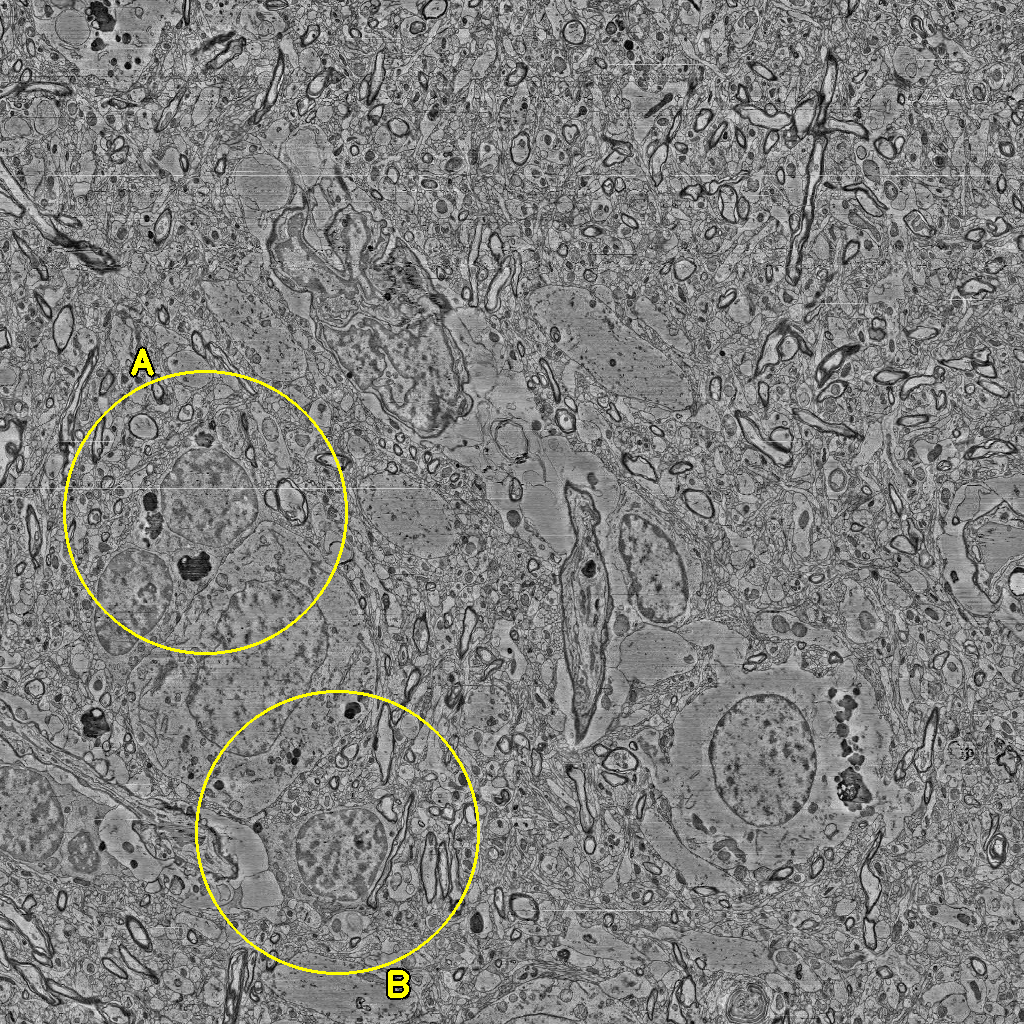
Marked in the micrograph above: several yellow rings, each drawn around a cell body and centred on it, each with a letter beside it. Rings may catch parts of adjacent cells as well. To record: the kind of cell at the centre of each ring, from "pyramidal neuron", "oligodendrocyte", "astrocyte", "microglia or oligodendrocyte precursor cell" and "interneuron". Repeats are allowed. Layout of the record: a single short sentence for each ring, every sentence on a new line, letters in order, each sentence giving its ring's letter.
At the centre of ring A lies an oligodendrocyte.
At the centre of ring B lies an oligodendrocyte.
